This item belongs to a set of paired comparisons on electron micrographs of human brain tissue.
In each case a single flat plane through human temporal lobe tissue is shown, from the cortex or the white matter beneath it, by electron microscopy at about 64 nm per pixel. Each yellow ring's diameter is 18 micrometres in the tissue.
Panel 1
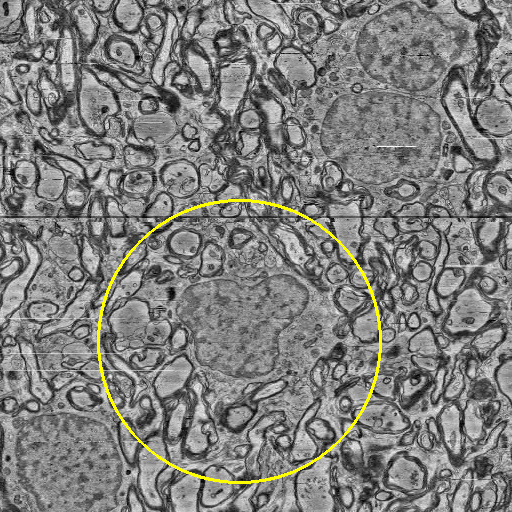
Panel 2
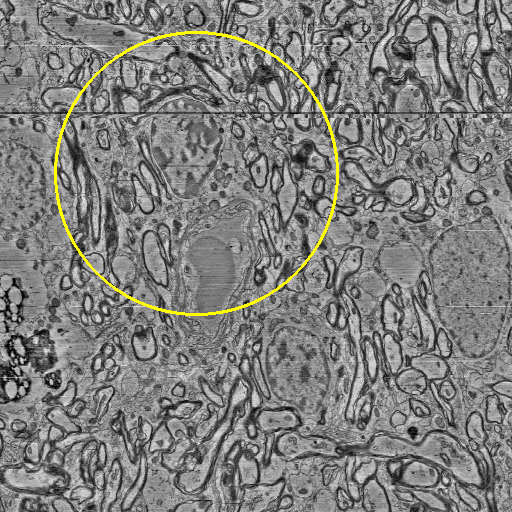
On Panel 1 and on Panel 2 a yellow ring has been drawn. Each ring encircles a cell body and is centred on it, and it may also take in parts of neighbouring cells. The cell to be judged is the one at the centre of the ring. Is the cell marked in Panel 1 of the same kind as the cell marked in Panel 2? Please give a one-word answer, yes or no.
no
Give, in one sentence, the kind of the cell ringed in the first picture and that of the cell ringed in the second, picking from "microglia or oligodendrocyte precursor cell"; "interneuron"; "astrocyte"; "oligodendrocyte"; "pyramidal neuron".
For the first picture it is an oligodendrocyte; for the second, a microglial cell or oligodendrocyte precursor cell.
